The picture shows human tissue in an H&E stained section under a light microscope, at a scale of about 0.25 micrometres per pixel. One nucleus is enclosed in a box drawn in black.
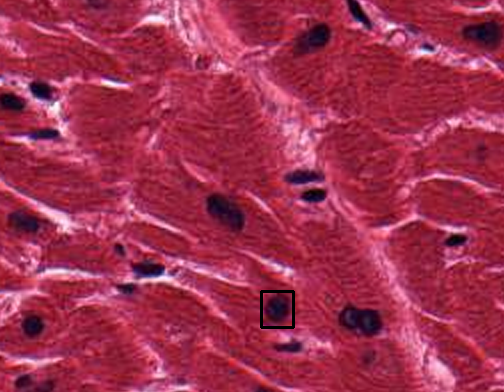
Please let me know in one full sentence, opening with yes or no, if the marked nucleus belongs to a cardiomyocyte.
Yes, the marked nucleus is that of a cardiomyocyte.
